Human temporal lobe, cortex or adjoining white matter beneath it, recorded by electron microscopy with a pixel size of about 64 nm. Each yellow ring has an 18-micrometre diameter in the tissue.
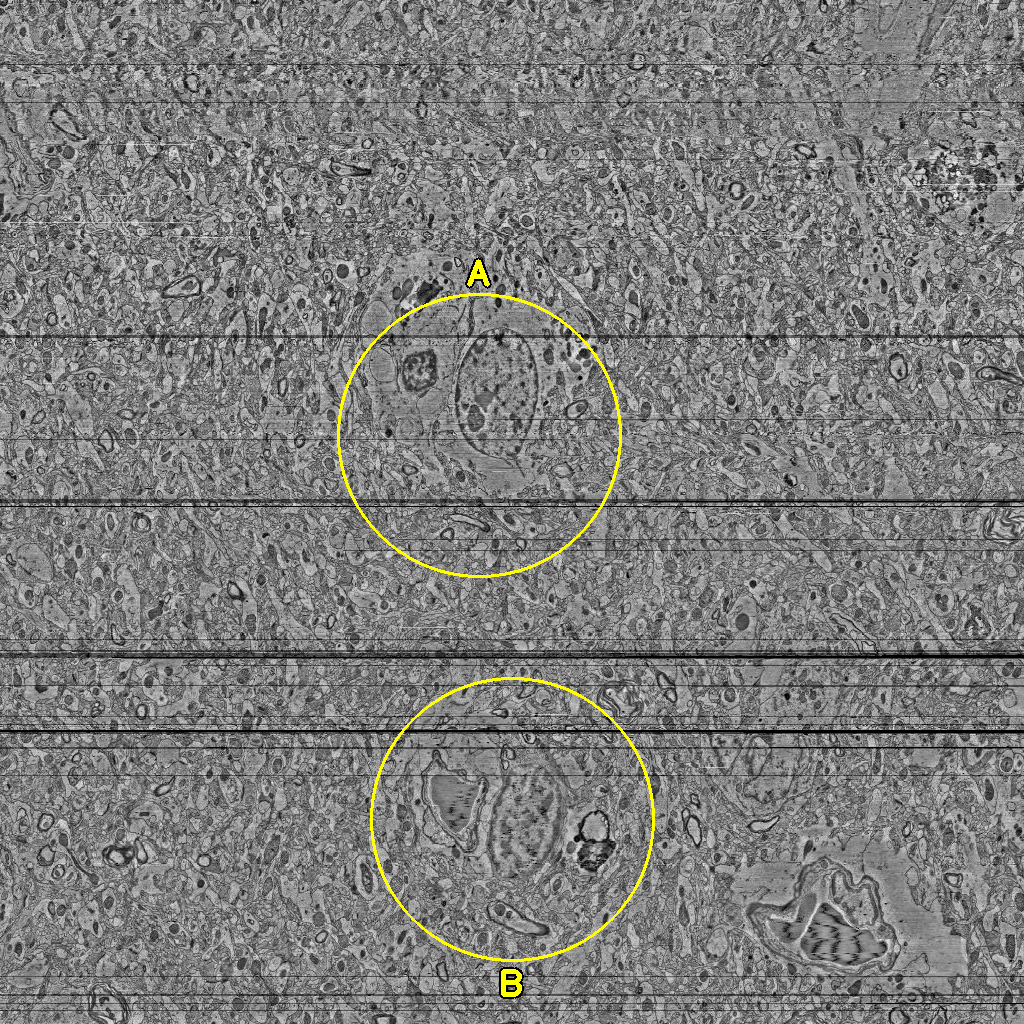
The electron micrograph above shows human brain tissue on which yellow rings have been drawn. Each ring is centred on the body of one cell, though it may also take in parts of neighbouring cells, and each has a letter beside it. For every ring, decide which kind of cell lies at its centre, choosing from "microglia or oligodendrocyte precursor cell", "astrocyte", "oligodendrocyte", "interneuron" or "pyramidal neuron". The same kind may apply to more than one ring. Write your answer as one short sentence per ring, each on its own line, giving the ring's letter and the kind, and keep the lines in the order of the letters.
Ring A is centred on an astrocyte.
Ring B is centred on an oligodendrocyte.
